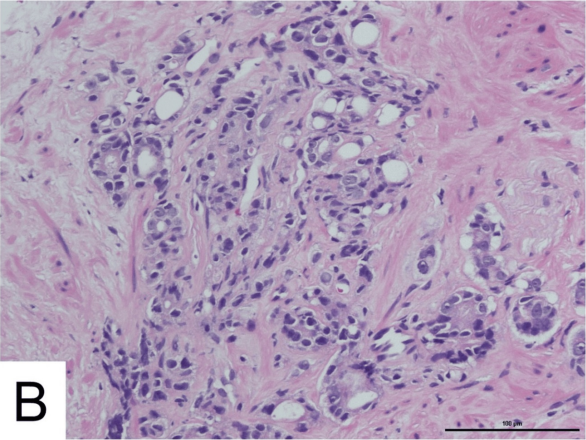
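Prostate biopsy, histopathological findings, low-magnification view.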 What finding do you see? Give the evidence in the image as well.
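Small clusters of epithelial cells with tiny or absent lumina lie in pink fibrous stroma. Few well-formed gland lumina are present. Cells infiltrate between collagen bundles.
Conclusion: poorly formed glands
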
